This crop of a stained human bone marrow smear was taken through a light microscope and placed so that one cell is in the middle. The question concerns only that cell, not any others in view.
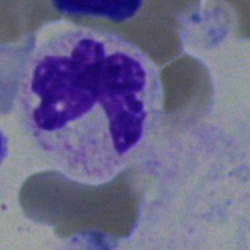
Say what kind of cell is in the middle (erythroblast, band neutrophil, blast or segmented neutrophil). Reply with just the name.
segmented neutrophil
